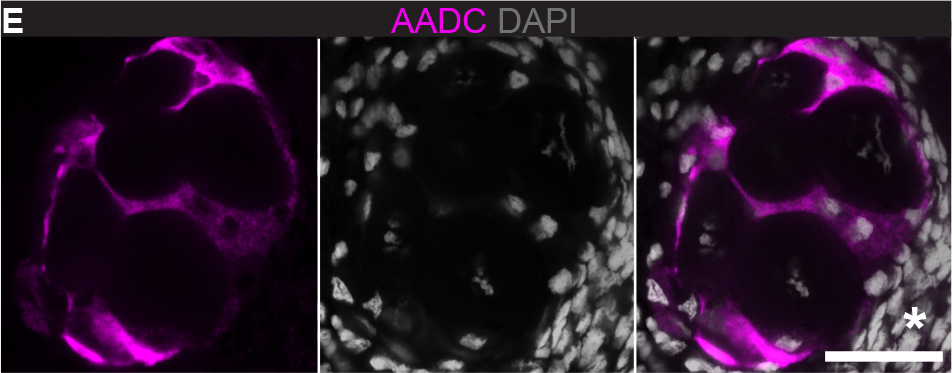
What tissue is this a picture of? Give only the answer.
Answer: Ovaries.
